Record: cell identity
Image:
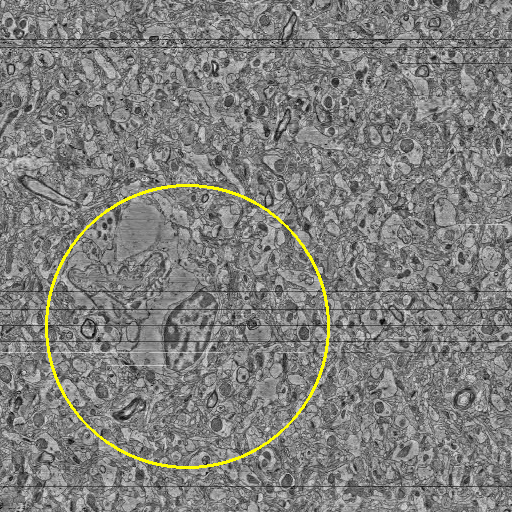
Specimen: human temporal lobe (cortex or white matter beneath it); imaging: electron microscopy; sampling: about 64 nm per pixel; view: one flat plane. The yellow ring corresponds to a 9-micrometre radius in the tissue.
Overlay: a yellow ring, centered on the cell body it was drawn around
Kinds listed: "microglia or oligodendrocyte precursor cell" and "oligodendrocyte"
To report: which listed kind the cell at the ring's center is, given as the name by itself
microglia or oligodendrocyte precursor cell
